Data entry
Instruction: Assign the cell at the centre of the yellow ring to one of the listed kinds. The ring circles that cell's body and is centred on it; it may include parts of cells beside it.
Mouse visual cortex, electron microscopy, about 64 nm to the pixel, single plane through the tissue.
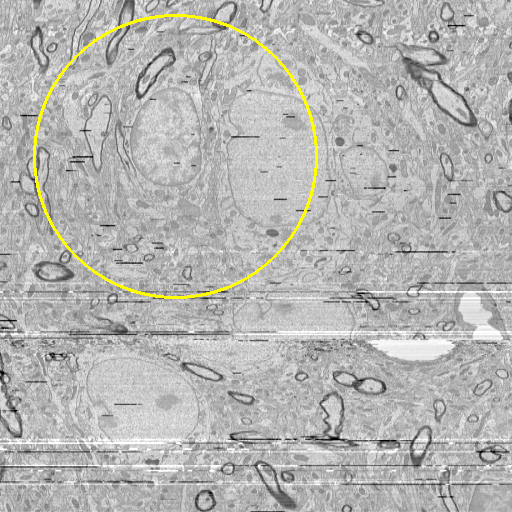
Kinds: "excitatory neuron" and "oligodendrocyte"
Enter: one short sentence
The centre of the ring falls on an oligodendrocyte.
